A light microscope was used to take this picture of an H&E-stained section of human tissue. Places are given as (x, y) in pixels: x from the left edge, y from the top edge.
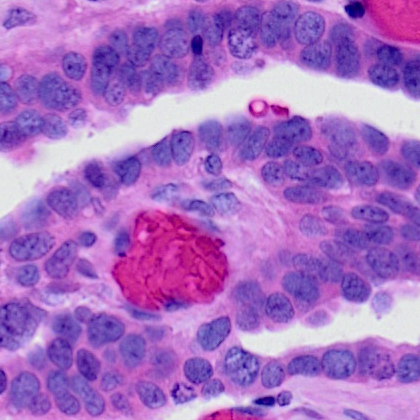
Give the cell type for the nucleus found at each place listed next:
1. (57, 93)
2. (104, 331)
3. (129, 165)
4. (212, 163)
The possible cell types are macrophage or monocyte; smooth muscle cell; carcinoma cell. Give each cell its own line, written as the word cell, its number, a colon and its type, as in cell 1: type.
cell 1: carcinoma cell
cell 2: carcinoma cell
cell 3: carcinoma cell
cell 4: macrophage or monocyte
